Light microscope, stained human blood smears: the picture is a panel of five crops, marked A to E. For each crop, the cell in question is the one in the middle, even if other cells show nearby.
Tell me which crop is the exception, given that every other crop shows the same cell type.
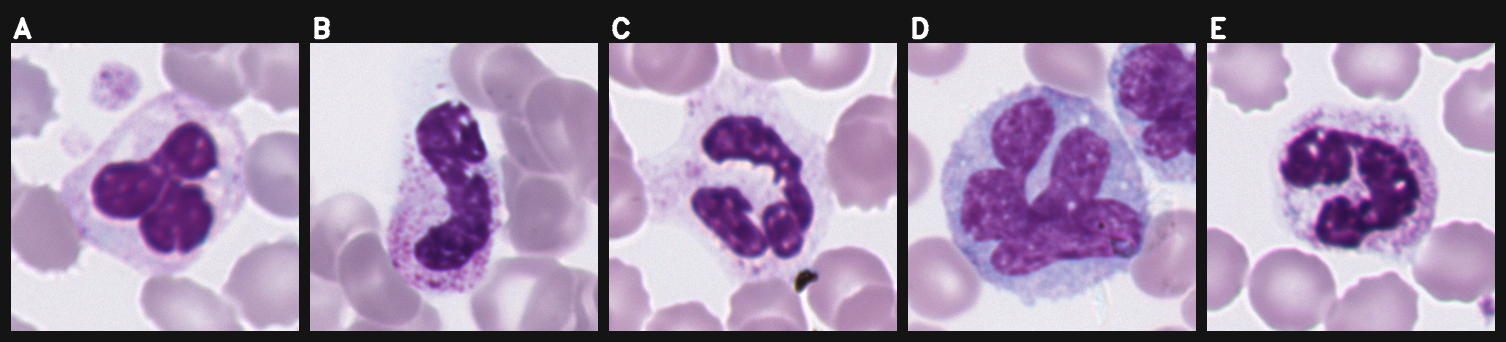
D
